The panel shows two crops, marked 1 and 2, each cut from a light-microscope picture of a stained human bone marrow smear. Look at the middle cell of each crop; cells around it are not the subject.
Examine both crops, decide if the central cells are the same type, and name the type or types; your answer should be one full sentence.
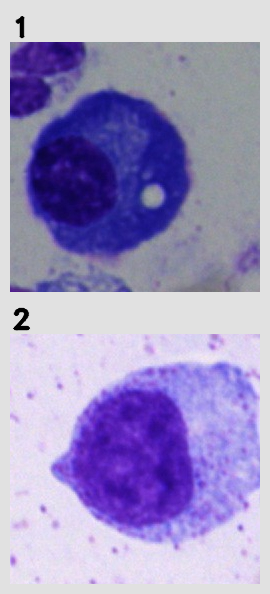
No, shown in crop 1 is a plasma cell, and shown in crop 2 is a promyelocyte.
